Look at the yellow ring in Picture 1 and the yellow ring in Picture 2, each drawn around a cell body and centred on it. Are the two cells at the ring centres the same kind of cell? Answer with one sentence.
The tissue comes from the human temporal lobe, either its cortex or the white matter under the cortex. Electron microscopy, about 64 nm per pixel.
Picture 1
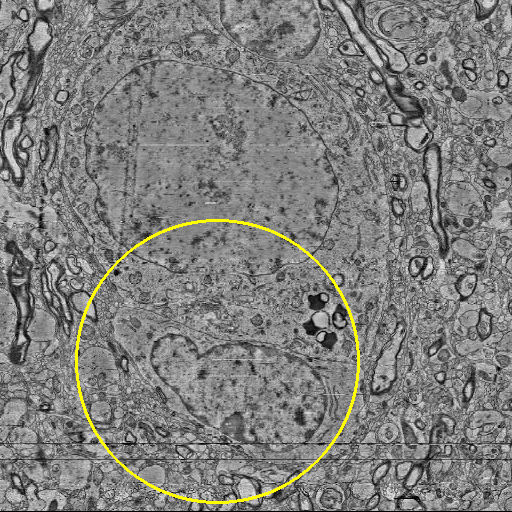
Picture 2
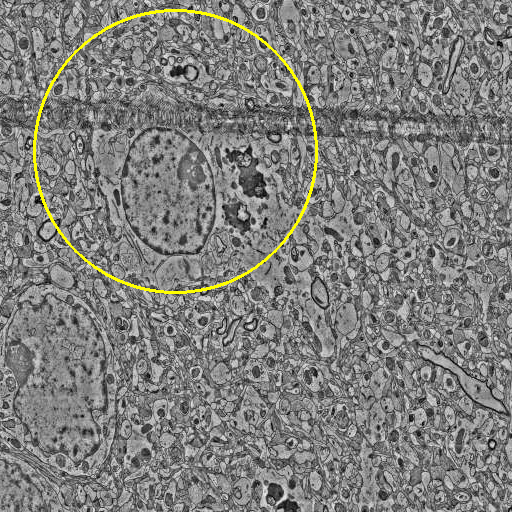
No, they are cells of two kinds.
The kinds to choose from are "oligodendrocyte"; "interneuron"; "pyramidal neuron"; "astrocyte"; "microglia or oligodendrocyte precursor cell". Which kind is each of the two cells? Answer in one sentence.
Of the two, the first cell is a microglial cell or oligodendrocyte precursor cell and the second cell is an astrocyte.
